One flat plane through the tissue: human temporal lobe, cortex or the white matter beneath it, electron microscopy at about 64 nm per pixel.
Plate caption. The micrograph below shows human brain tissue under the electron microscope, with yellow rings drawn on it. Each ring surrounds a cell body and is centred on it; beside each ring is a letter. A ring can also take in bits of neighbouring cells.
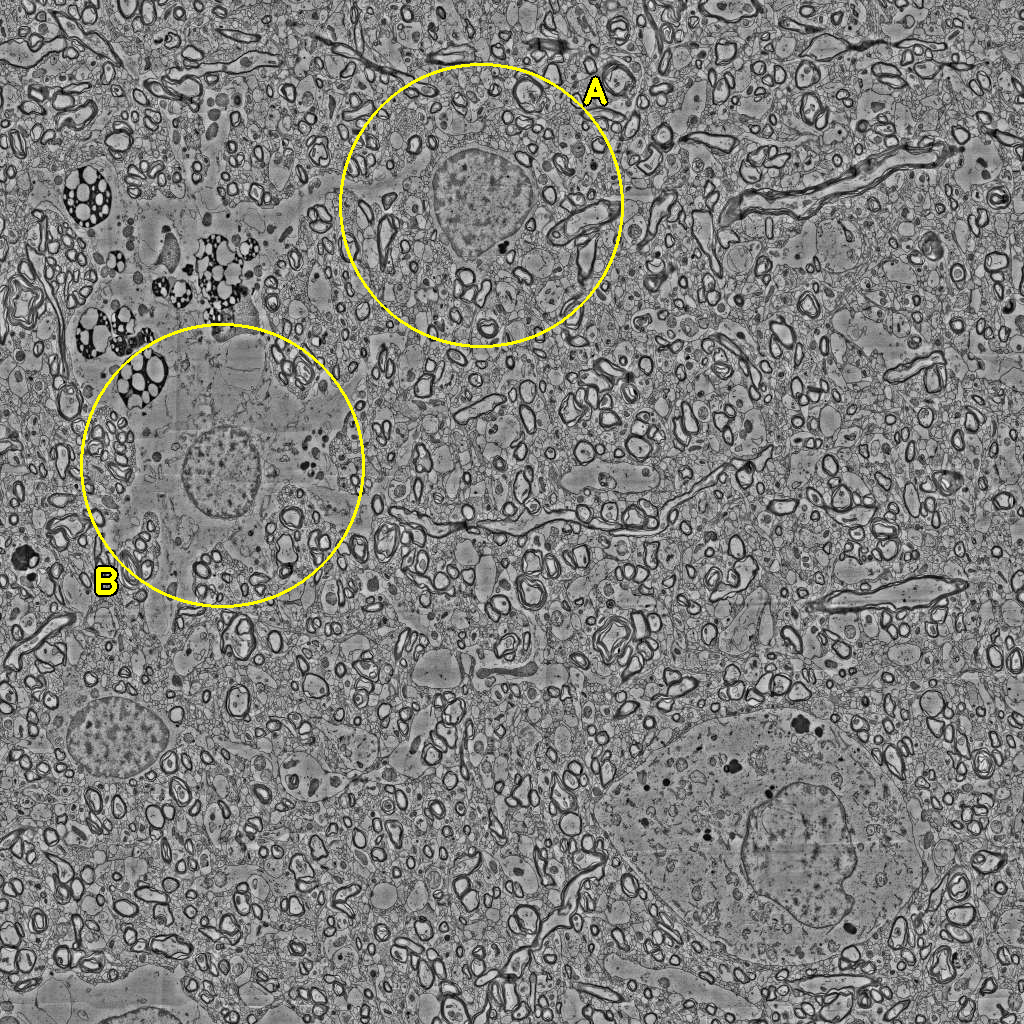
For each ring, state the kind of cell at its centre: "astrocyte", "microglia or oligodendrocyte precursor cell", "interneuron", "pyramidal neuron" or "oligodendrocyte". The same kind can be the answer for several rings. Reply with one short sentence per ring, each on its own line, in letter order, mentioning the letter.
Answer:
Ring A is drawn around an oligodendrocyte.
Ring B is drawn around an astrocyte.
